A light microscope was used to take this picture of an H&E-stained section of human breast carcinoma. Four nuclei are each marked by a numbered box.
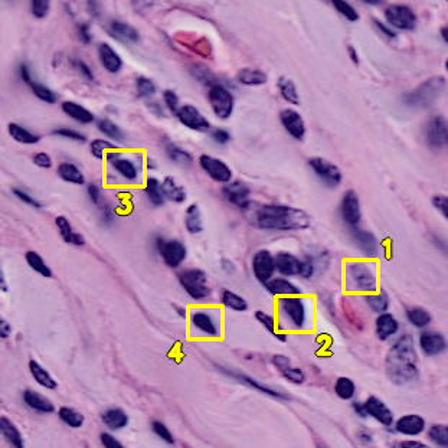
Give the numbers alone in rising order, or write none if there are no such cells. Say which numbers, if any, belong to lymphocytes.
2, 3, 4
